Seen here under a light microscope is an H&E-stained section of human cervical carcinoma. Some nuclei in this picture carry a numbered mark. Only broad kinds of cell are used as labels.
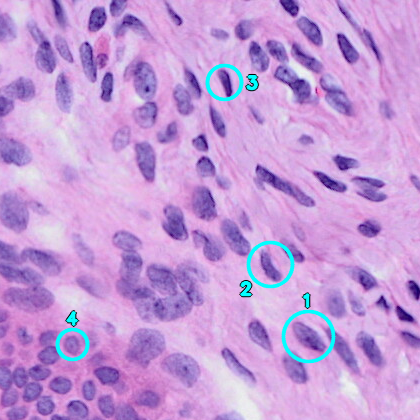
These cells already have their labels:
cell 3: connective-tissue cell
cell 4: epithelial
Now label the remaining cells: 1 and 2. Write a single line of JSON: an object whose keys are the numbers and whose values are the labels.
{"1": "connective-tissue cell", "2": "connective-tissue cell"}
